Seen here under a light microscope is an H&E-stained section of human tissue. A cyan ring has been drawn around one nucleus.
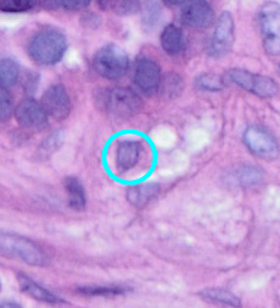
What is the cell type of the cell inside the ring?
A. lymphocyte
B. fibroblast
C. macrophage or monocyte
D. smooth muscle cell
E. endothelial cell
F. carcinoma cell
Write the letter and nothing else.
C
